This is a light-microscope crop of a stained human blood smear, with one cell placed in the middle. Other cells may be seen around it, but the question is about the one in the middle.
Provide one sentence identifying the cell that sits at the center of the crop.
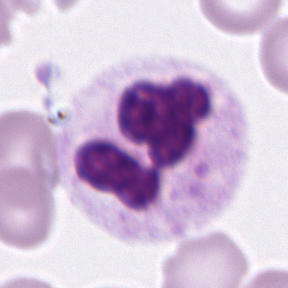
The cell sitting right in the middle is a segmented neutrophil.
